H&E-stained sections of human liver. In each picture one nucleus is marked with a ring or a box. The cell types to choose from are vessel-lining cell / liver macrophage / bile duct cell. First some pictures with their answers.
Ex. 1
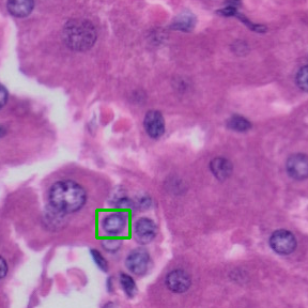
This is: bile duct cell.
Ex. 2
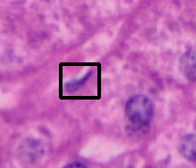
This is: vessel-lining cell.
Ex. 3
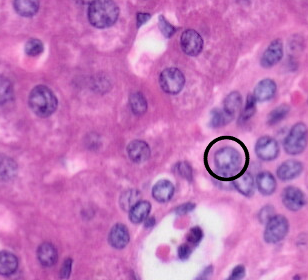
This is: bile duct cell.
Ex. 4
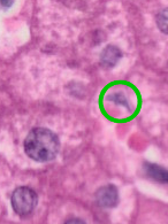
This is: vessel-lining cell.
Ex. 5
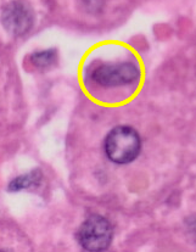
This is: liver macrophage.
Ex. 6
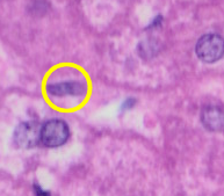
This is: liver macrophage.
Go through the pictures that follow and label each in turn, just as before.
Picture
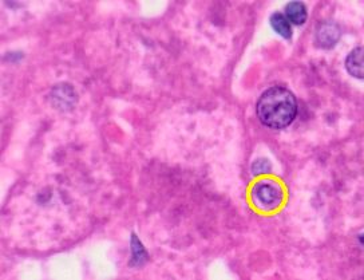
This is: liver macrophage.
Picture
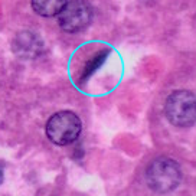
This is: vessel-lining cell.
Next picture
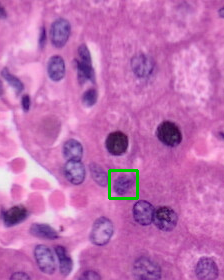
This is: bile duct cell.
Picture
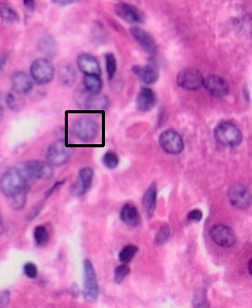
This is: bile duct cell.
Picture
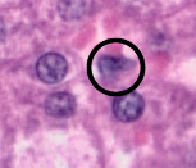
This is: liver macrophage.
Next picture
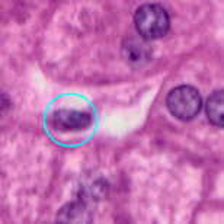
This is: liver macrophage.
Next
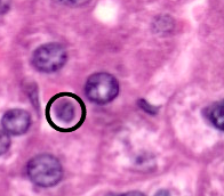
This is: liver macrophage.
